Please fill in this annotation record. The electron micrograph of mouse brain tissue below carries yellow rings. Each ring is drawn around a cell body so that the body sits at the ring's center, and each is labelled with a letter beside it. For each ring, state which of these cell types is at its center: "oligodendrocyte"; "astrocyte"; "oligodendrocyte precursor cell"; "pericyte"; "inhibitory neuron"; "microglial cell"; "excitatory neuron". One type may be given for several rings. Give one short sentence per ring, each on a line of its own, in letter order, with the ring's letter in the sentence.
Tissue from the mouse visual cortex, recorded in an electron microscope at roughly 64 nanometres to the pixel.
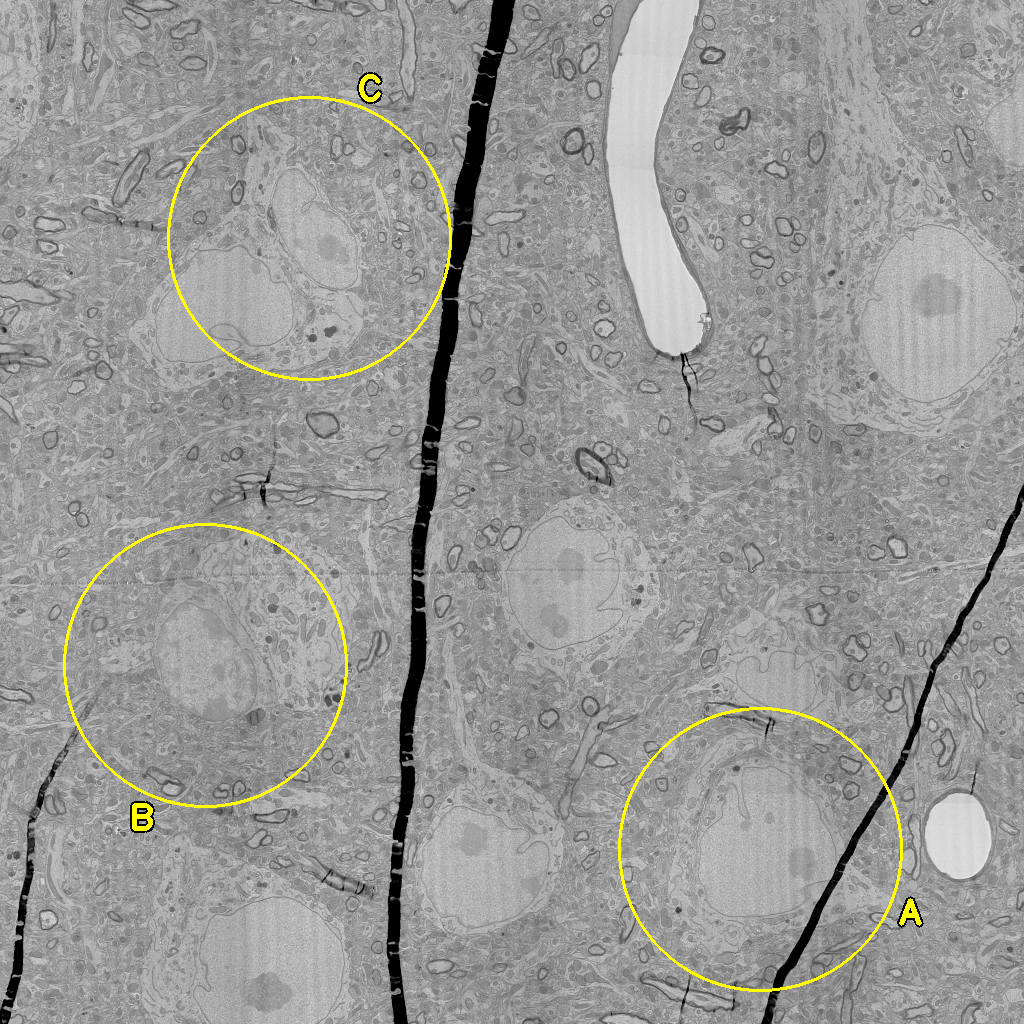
Ring A is drawn around an excitatory neuron.
Ring B is drawn around an oligodendrocyte.
Ring C is drawn around an oligodendrocyte precursor cell.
